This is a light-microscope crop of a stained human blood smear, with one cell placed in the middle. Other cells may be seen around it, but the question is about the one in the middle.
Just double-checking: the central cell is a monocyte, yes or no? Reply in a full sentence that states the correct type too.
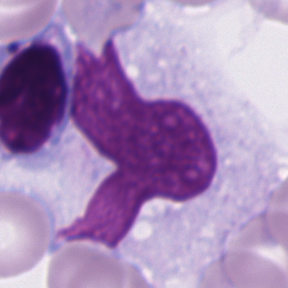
Yes, shown in the middle of the crop is a monocyte.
